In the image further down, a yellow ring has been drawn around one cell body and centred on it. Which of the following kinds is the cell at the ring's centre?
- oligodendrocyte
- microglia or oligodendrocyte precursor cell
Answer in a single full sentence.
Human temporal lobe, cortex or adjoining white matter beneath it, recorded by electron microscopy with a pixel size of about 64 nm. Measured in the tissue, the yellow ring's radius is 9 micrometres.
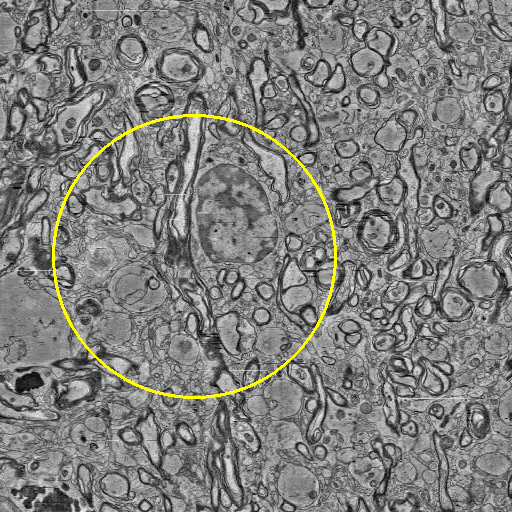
In the picture, the cell sitting at the centre of the yellow ring is a microglial cell or oligodendrocyte precursor cell.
